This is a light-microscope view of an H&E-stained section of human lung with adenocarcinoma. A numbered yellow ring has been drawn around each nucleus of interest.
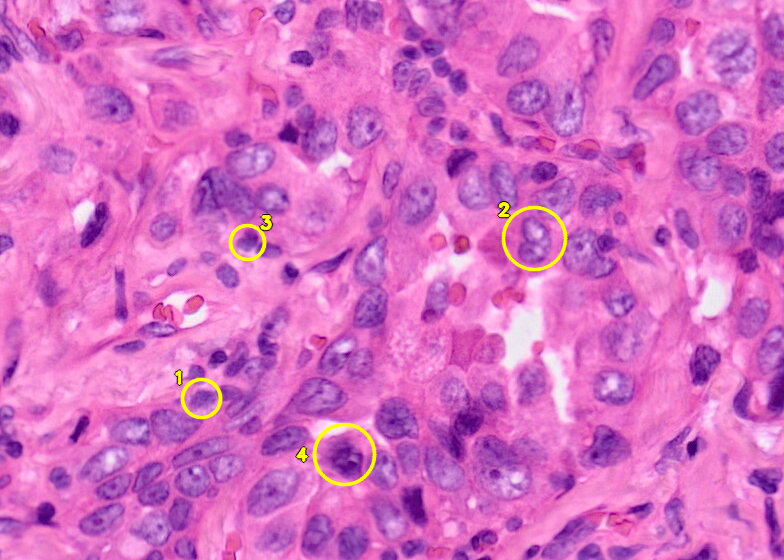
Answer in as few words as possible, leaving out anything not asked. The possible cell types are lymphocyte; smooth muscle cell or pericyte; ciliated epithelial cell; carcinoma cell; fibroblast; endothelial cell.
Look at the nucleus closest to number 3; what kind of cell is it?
lymphocyte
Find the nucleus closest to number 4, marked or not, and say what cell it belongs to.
carcinoma cell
